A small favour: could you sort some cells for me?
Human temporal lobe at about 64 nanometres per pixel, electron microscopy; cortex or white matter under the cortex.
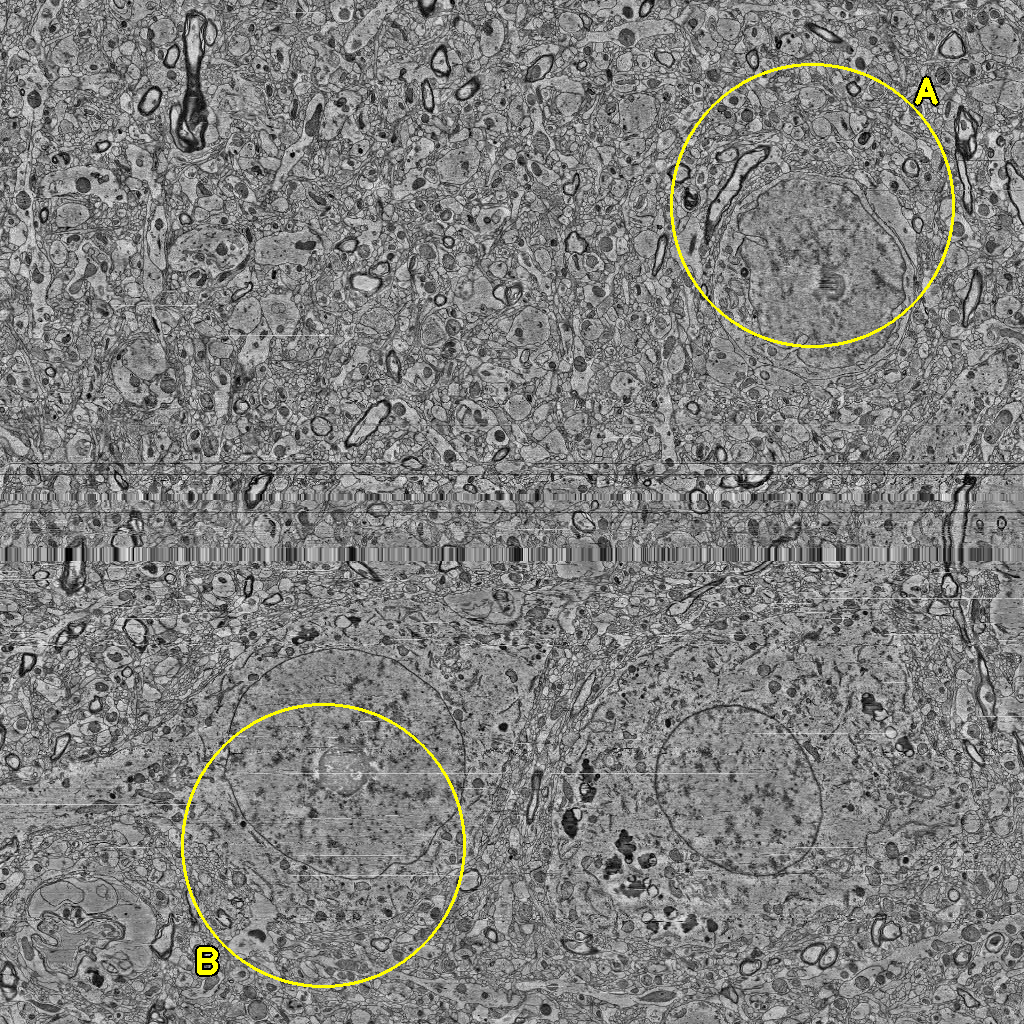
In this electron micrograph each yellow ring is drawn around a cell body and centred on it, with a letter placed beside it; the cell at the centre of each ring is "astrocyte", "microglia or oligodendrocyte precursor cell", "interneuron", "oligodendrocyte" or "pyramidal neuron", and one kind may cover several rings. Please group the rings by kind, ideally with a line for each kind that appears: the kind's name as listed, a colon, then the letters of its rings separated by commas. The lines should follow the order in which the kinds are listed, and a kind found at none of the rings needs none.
interneuron: A
pyramidal neuron: B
